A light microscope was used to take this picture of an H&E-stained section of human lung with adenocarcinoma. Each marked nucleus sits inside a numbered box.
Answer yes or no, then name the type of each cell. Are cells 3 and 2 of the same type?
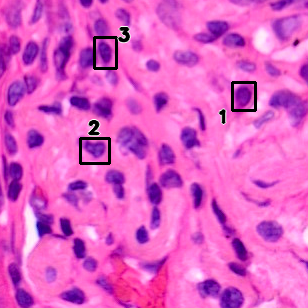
Yes, both of cells 3 and 2 are lymphocytes.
